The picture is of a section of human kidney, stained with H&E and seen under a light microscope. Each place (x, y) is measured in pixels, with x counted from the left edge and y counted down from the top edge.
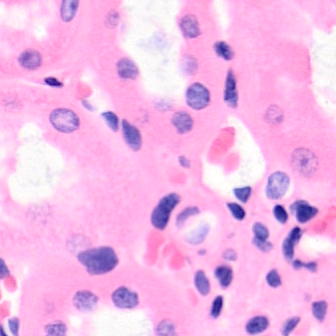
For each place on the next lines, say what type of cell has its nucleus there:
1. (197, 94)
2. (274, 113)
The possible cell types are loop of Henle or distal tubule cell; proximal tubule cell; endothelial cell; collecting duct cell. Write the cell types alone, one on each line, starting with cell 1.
loop of Henle or distal tubule cell
proximal tubule cell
